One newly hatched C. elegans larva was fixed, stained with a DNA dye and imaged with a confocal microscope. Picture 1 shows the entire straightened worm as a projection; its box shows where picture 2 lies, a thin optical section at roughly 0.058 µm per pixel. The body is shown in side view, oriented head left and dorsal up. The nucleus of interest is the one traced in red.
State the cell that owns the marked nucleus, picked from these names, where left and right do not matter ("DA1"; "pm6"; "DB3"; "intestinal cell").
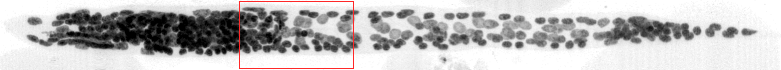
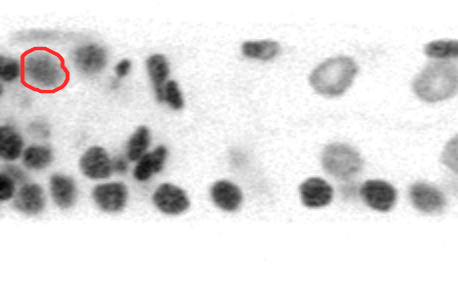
pm6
